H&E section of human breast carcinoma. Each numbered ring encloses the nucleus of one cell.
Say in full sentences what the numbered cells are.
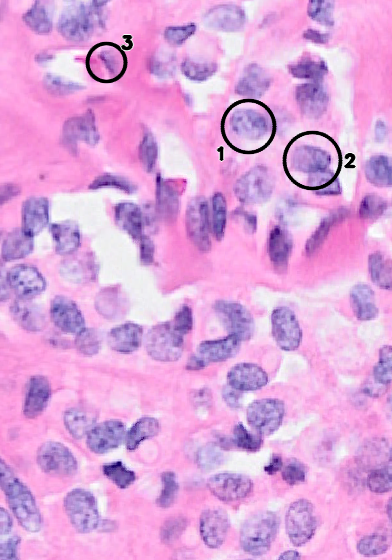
Cells 1 and 2 are carcinoma cells. Cell 3 is an endothelial cell.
